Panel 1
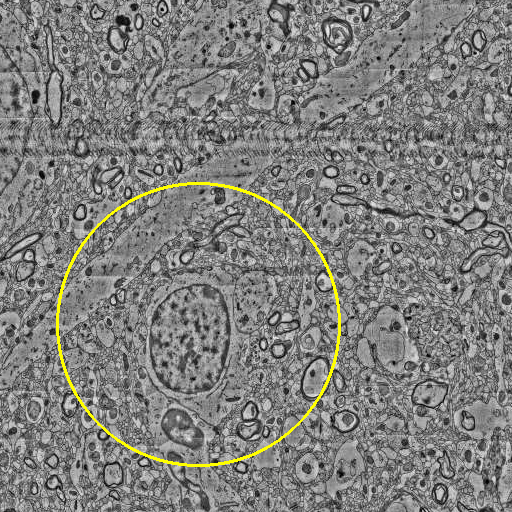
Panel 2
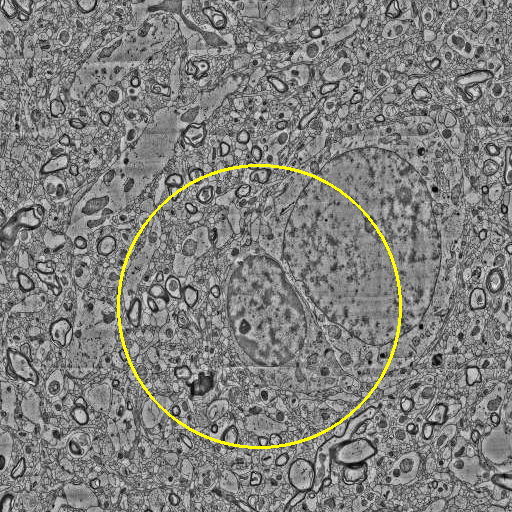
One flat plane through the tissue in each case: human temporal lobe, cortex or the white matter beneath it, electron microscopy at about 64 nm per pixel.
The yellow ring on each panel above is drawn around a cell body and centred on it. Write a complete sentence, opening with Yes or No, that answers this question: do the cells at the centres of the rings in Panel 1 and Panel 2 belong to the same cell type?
No, the two cells belong to two cell types.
